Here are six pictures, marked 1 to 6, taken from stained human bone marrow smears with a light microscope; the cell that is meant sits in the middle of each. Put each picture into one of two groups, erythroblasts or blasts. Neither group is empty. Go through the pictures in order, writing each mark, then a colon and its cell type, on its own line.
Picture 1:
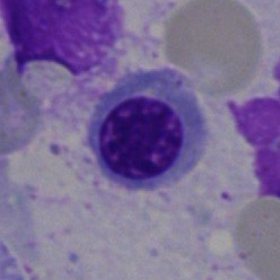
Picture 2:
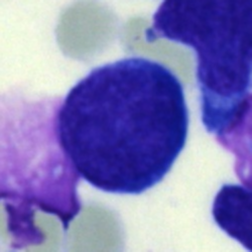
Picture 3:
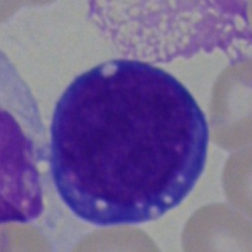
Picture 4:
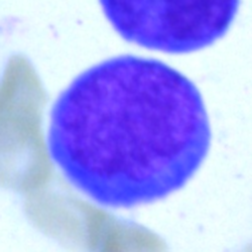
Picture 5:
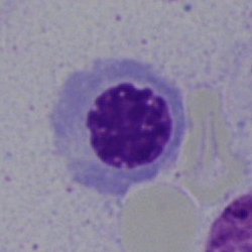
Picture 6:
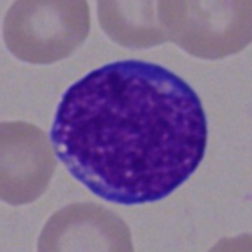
1: erythroblast
2: blast
3: blast
4: blast
5: erythroblast
6: blast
